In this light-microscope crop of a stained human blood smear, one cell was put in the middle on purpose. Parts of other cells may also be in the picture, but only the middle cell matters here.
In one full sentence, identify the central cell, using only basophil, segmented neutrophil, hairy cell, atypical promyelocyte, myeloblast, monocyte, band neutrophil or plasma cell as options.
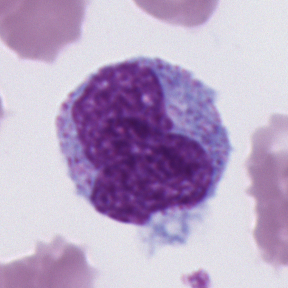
The cell the crop is centered on is a monocyte.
